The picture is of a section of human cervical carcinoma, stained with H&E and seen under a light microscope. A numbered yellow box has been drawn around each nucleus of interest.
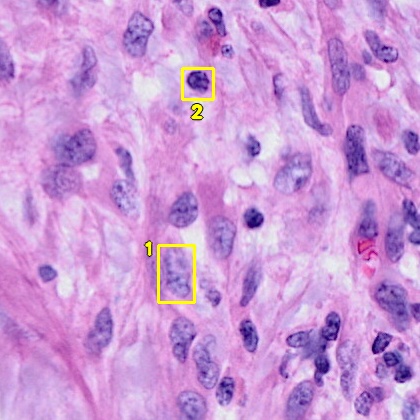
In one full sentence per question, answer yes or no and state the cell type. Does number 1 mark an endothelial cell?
Yes, the cell referred to as number 1 is an endothelial cell.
